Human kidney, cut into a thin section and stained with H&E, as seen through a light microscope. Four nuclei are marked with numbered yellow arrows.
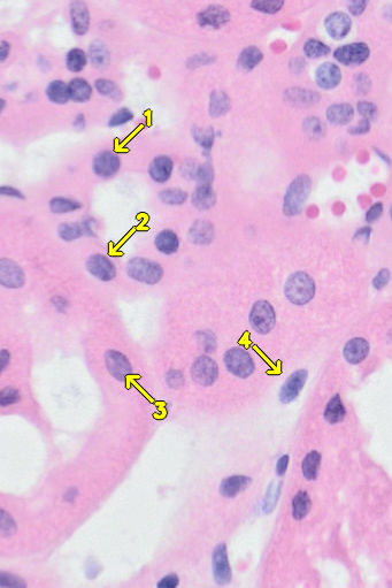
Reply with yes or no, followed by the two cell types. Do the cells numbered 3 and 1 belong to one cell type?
No, cell 3 is a proximal tubule cell; cell 1, by contrast, is a collecting duct cell.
